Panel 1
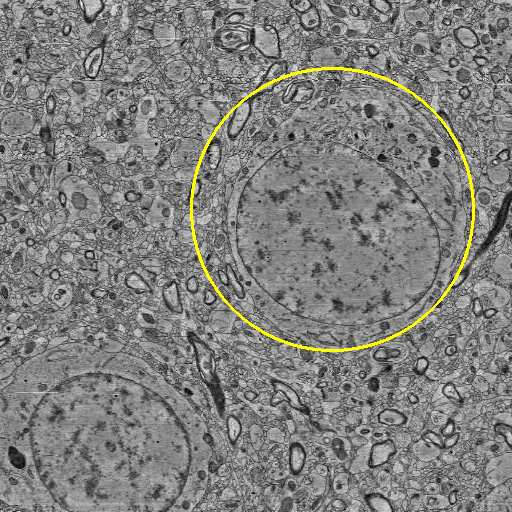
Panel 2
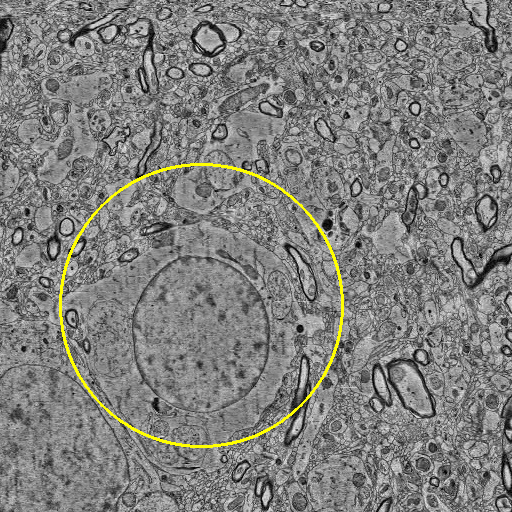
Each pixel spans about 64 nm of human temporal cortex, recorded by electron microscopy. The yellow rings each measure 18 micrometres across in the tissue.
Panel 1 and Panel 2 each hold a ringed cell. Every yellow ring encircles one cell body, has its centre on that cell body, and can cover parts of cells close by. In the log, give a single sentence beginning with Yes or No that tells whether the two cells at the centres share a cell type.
No, in Panel 1 and Panel 2 the centred cells are of two cell types.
